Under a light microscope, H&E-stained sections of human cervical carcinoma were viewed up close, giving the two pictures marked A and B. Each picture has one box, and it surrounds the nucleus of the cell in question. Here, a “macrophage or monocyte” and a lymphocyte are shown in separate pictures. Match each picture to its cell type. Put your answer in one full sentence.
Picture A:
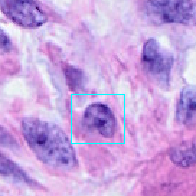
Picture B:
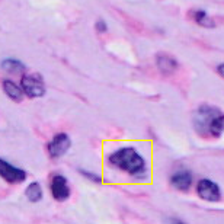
Picture A shows a “macrophage or monocyte” and picture B shows a lymphocyte.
